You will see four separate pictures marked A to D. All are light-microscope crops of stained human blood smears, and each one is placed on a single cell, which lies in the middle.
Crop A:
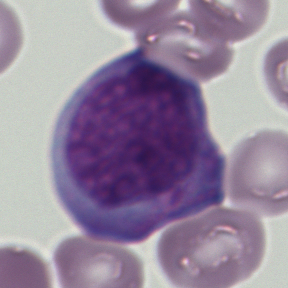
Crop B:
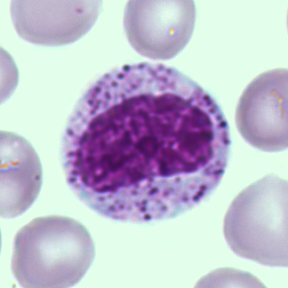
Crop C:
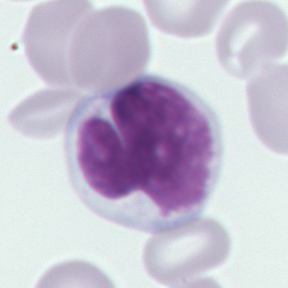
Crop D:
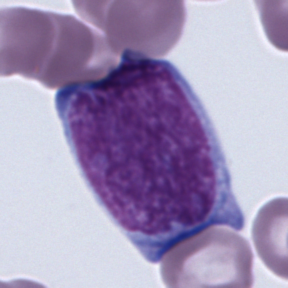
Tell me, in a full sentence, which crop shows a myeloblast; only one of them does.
Only in crop D is a myeloblast shown.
